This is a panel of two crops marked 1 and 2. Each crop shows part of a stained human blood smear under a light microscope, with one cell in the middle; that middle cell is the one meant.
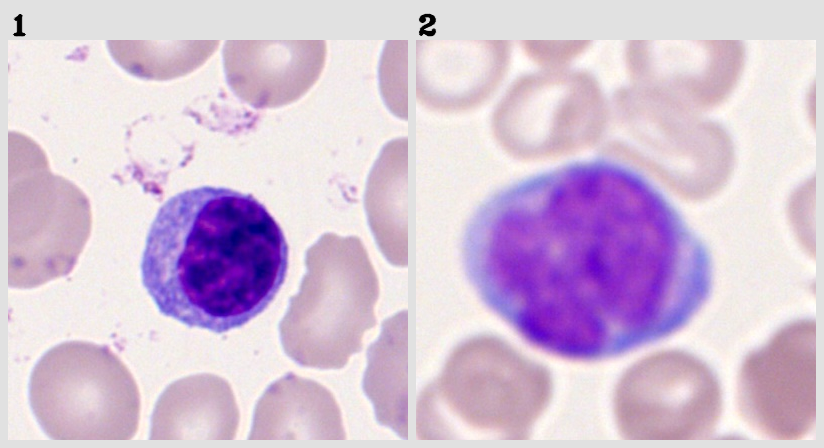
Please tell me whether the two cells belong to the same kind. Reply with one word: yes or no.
no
